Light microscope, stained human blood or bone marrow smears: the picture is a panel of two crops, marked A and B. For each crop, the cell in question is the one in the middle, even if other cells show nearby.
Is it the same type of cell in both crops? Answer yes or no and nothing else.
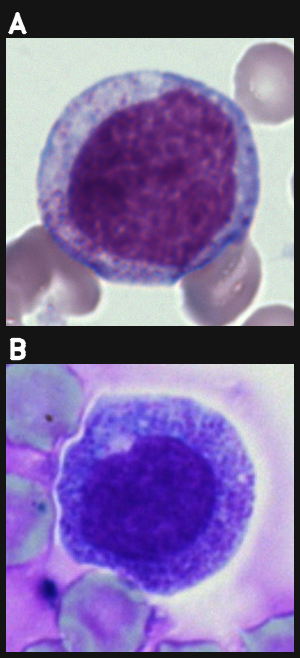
yes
